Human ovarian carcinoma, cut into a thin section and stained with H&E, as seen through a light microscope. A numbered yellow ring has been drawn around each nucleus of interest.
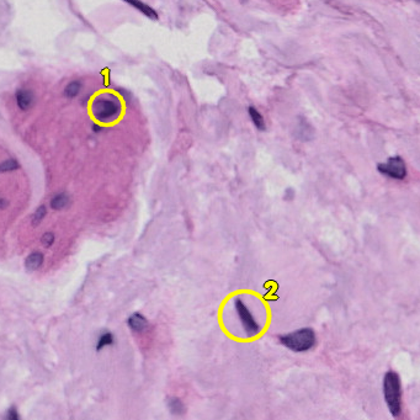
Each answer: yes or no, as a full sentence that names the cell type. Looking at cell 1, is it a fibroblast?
No, the cell carrying number 1 is a smooth muscle cell rather than a fibroblast.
